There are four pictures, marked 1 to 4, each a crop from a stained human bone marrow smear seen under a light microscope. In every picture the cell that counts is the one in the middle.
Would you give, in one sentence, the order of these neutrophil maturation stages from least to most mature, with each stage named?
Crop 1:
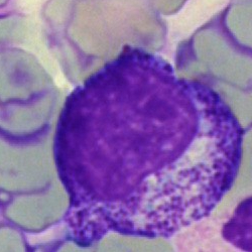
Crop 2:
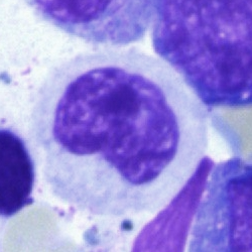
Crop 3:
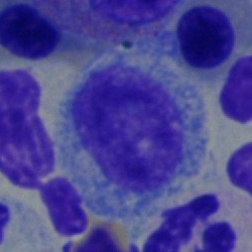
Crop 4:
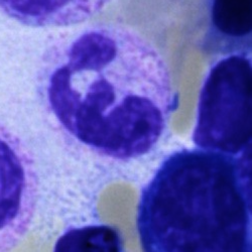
Sequenced by maturity from least to most, the crops are crop 1 (a promyelocyte), crop 3 (a myelocyte), crop 2 (a band neutrophil) and crop 4 (a segmented neutrophil).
